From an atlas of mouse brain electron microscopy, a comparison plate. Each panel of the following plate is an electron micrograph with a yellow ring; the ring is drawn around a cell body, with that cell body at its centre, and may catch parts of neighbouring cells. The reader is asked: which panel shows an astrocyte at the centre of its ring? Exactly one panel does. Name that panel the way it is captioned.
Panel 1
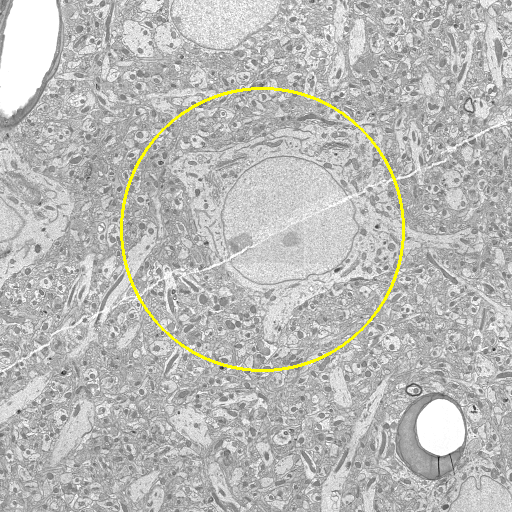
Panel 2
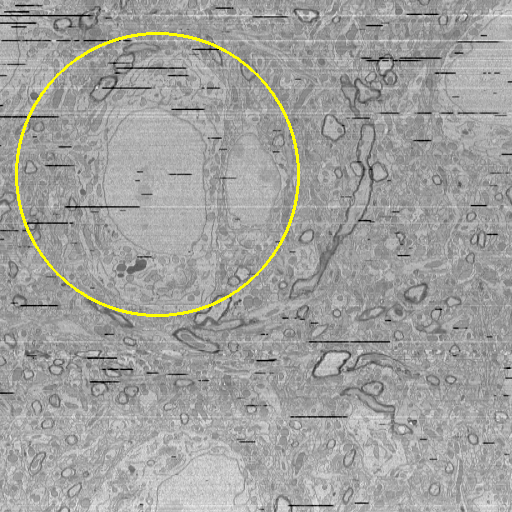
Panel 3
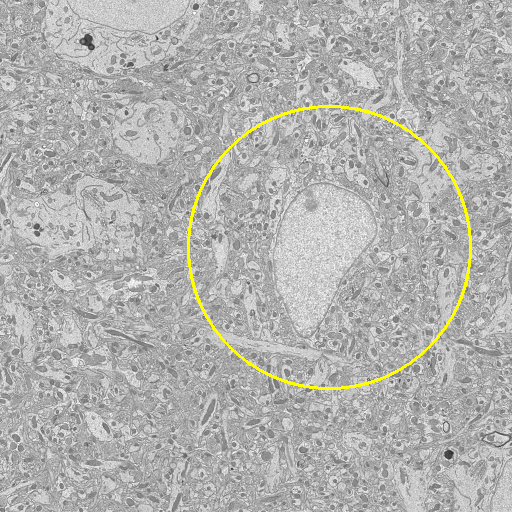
Panel 3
